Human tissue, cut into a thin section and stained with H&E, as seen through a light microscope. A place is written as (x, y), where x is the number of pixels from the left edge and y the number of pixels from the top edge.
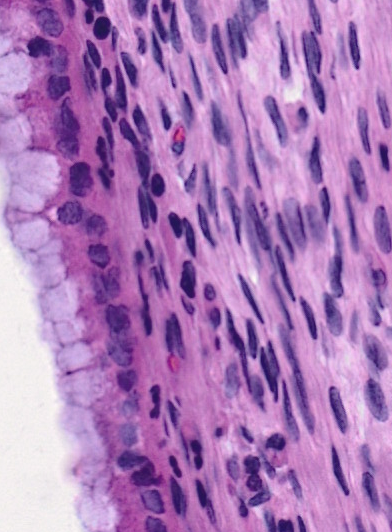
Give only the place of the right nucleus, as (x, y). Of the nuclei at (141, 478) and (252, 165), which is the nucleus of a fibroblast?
(252, 165)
